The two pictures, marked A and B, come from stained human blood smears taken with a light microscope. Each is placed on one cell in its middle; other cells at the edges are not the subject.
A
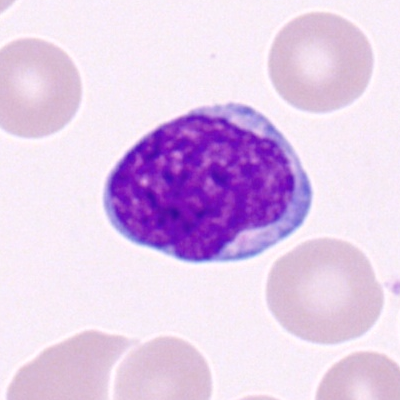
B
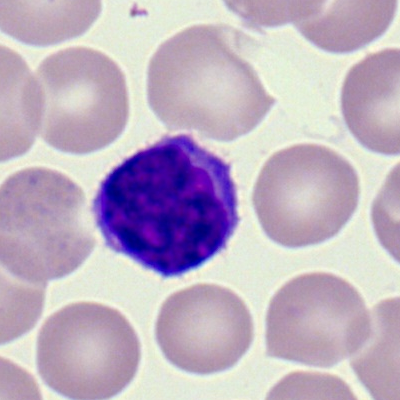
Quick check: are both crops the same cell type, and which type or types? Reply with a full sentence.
No, it is crop A that shows a myeloblast, and crop B that shows a lymphocyte.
